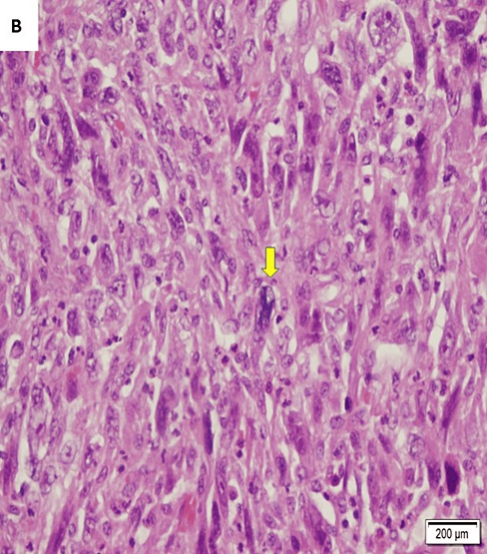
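A sheet of large pleomorphic tumor cells, many resembling mature histiocytes, fills the field. The cells have abundant pink cytoplasm and are partly elongated, lying in loose streams. Nuclei vary markedly in size and shape, from oval vesicular nuclei with visible nucleoli to large, dark, irregular bizarre forms. Occasional multinucleated or giant cells are present. Near the centre a dark, irregular clump of chromatin marks an abnormal mitotic figure.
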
